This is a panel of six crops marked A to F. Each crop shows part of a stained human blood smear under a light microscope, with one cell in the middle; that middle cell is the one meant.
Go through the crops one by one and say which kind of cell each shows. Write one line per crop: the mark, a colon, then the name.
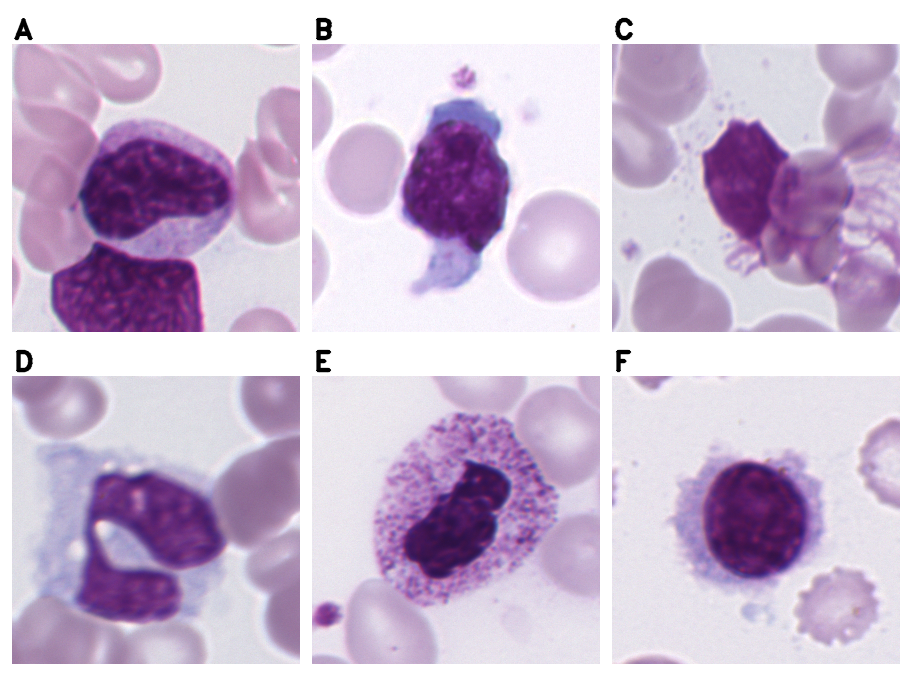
A: metamyelocyte
B: plasma cell
C: smudge cell
D: monocyte
E: segmented neutrophil
F: hairy cell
